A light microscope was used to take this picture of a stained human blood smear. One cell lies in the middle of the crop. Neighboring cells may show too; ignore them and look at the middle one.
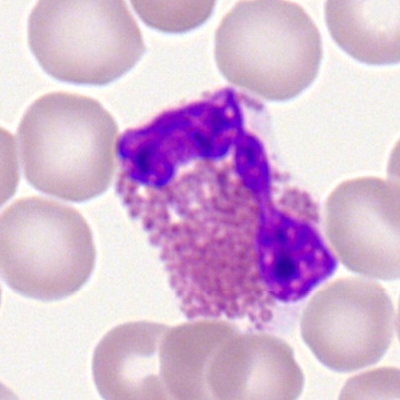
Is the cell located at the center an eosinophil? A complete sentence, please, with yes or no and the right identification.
Yes, the cell shown centrally is an eosinophil.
